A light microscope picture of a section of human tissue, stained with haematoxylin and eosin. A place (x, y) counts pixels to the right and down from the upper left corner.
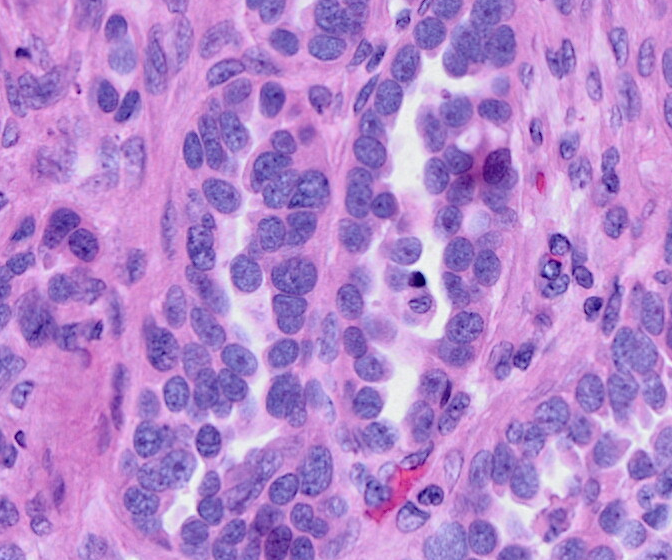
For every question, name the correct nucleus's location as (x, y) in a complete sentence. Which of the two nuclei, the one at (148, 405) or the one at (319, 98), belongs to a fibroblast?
The correct choice is the nucleus at (319, 98), which belongs to a fibroblast.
